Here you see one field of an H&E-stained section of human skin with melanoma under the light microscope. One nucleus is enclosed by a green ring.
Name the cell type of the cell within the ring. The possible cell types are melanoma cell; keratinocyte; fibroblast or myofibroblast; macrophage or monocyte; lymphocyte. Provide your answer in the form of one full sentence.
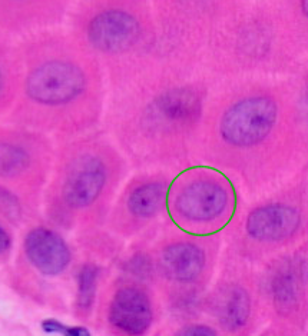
The expected answer is simply that the cell within the ring is a keratinocyte.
